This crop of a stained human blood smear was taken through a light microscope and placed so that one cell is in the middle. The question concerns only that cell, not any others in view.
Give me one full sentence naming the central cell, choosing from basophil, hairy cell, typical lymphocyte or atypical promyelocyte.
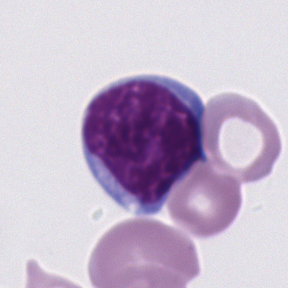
In the middle of this smear crop is a typical lymphocyte.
